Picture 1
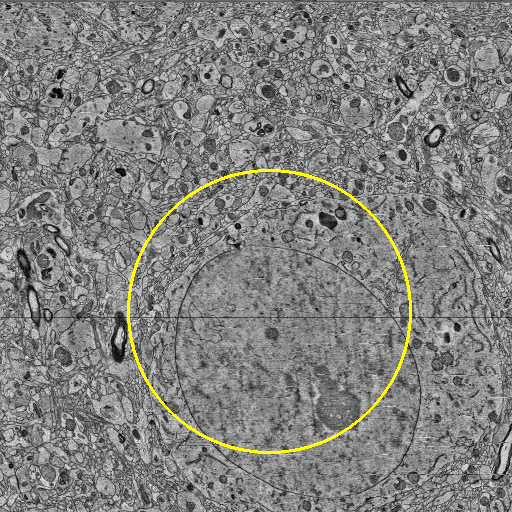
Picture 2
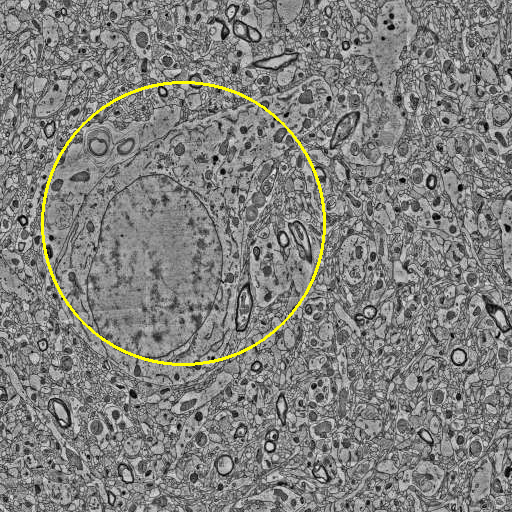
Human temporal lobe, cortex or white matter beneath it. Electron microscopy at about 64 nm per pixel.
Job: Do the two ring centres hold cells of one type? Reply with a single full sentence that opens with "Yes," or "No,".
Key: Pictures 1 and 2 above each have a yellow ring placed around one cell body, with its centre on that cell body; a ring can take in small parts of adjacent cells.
Yes, the cells at the two ring centres are of one single type.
